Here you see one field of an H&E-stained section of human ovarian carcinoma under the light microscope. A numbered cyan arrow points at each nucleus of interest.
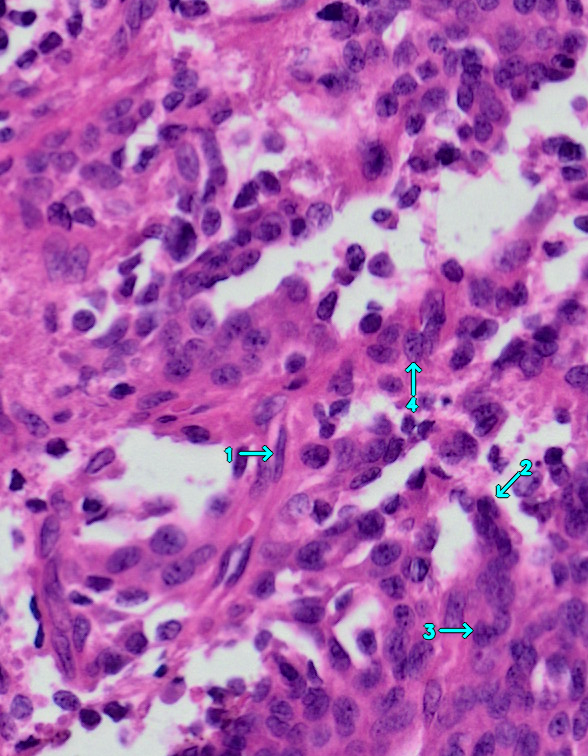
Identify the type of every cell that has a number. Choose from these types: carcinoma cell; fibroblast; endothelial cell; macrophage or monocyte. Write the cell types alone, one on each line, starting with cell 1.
endothelial cell
carcinoma cell
carcinoma cell
endothelial cell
